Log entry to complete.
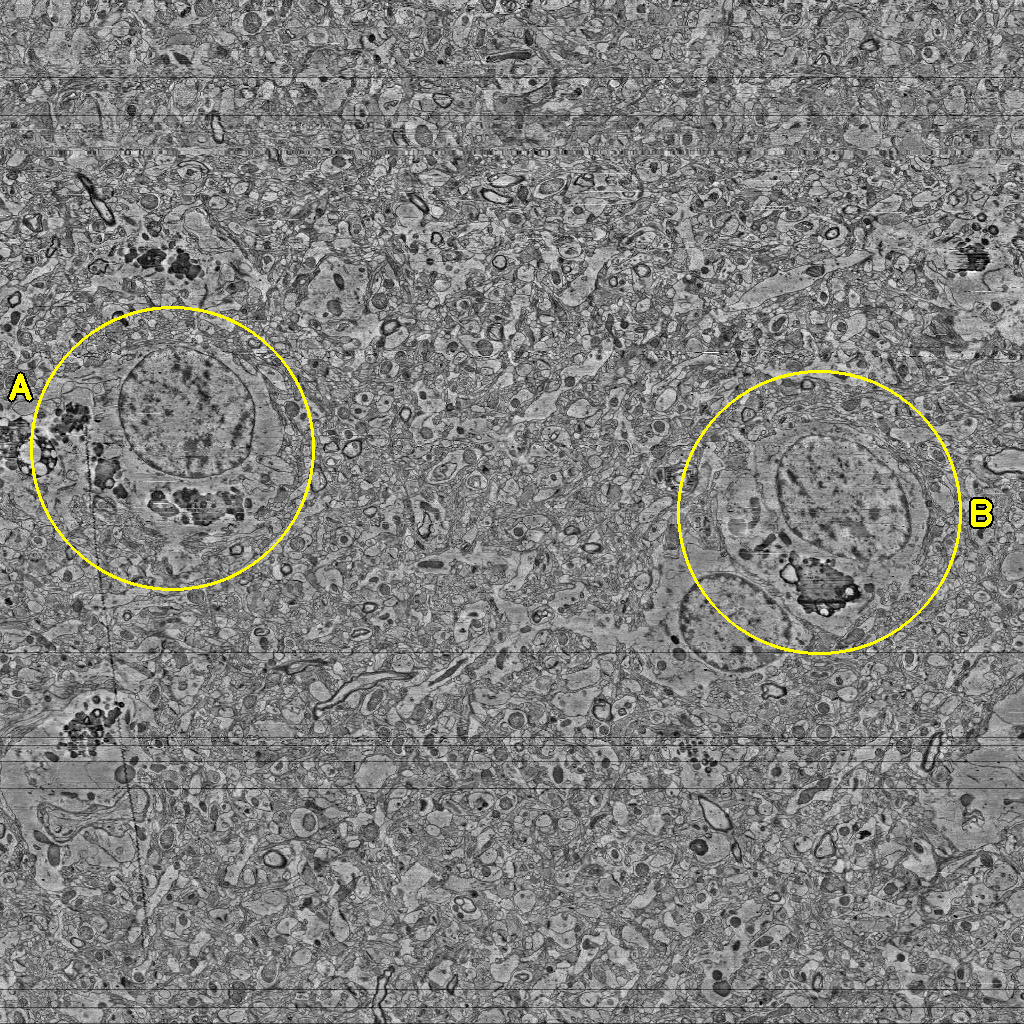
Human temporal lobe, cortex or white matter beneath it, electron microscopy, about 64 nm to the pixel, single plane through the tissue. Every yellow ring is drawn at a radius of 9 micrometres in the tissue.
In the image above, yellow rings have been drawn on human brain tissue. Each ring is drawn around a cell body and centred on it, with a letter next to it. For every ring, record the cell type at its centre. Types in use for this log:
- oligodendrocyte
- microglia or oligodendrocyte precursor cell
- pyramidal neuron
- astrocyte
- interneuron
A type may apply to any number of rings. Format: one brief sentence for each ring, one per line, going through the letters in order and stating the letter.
In ring A, the centred cell is an astrocyte.
In ring B, the centred cell is an astrocyte.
